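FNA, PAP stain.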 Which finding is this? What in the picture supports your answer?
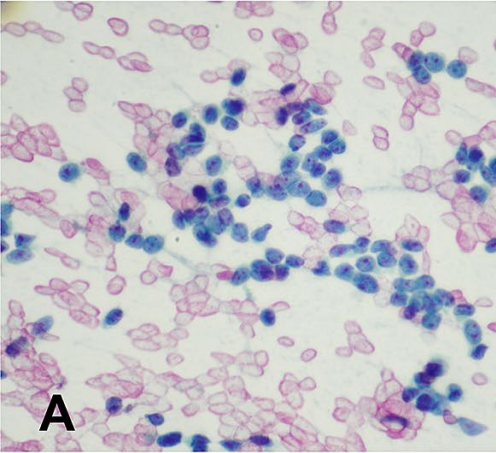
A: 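Cells lie singly and in loose small groups rather than in cohesive sheets. The cells are uniform in size and shape, with round dark blue nuclei. Pink-staining red blood cells fill the background between the cells. The answer: Monomorphic proliferation of dyscohesive cells.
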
